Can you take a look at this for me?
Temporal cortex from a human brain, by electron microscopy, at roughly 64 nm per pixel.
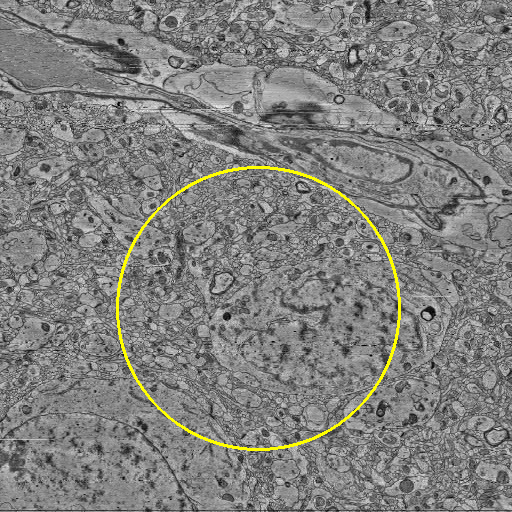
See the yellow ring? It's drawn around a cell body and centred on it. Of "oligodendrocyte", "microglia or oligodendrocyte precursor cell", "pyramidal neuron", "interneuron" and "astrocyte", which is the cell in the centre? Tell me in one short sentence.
The one in the centre is an interneuron.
